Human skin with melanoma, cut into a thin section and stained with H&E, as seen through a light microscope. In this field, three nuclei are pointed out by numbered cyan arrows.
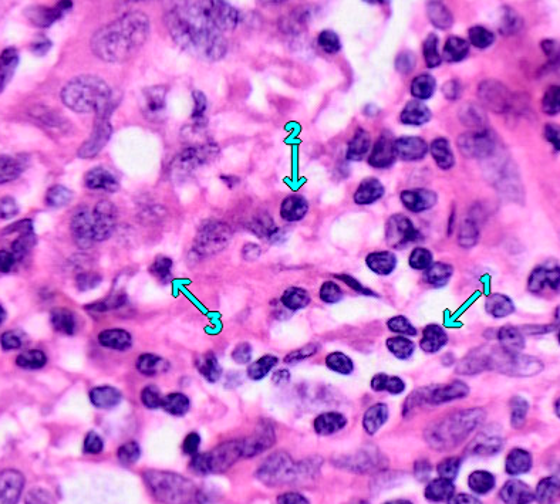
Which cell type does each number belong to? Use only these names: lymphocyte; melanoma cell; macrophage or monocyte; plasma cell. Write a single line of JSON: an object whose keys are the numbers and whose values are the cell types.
{"1": "lymphocyte", "2": "plasma cell", "3": "lymphocyte"}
